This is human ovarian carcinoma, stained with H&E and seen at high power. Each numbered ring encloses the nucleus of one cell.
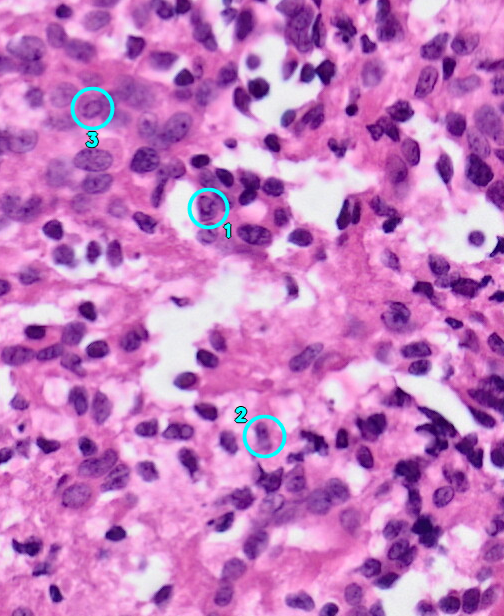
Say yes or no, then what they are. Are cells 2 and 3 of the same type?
No, mate, cell 2 is a macrophage or monocyte and cell 3 is a carcinoma cell.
